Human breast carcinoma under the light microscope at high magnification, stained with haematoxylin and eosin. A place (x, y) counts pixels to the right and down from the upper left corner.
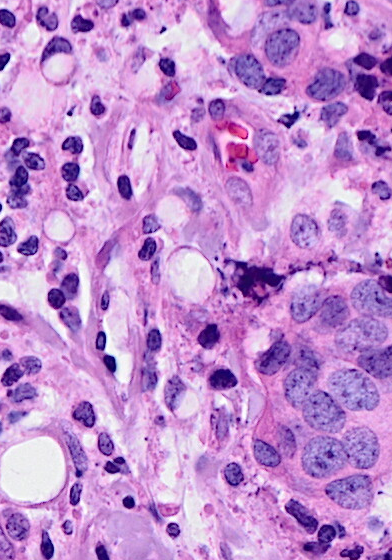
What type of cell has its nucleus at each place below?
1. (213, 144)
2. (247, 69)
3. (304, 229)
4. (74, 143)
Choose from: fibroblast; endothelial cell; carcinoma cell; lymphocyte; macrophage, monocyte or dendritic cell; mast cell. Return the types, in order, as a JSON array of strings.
["endothelial cell", "carcinoma cell", "macrophage, monocyte or dendritic cell", "lymphocyte"]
